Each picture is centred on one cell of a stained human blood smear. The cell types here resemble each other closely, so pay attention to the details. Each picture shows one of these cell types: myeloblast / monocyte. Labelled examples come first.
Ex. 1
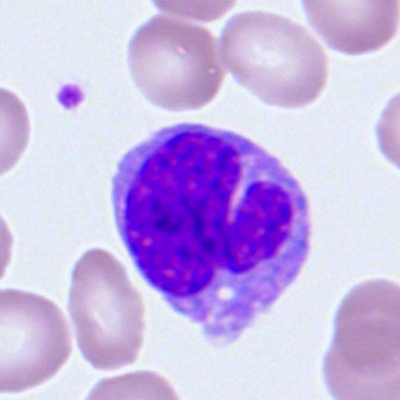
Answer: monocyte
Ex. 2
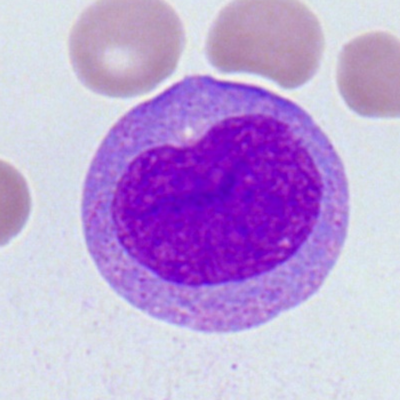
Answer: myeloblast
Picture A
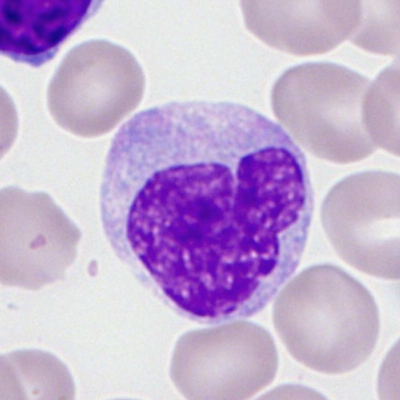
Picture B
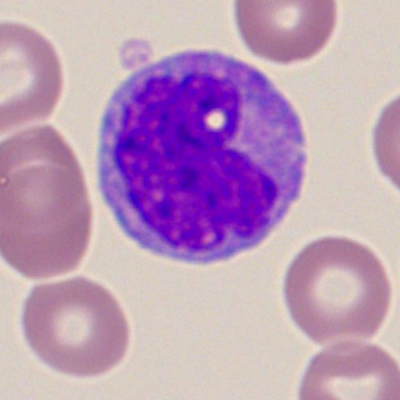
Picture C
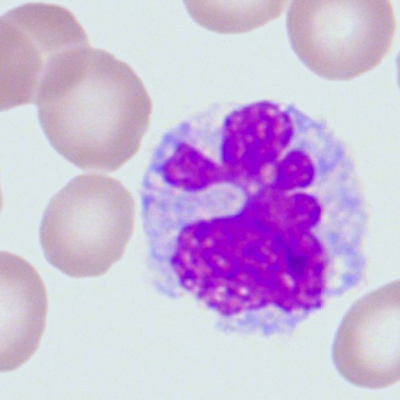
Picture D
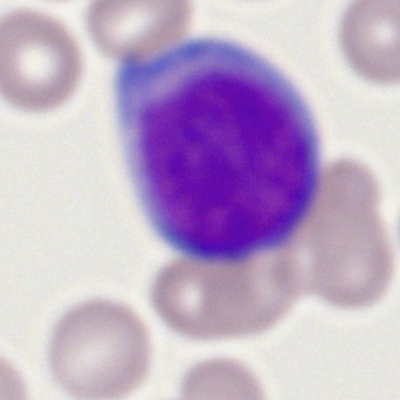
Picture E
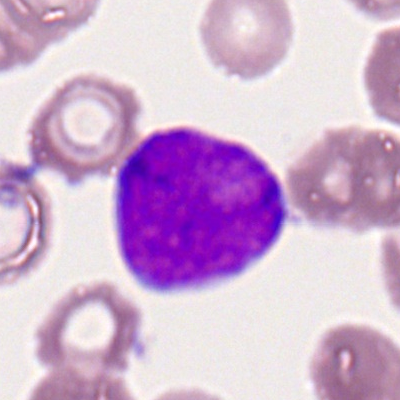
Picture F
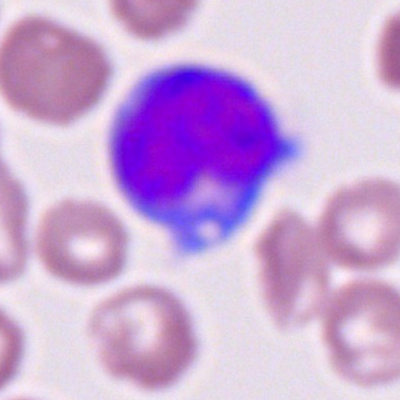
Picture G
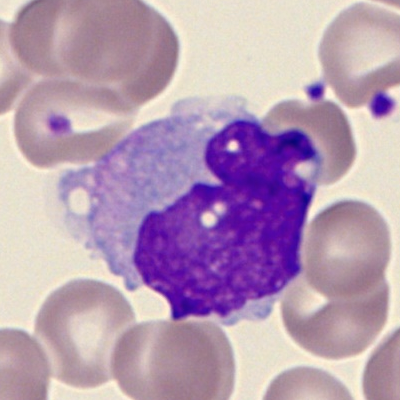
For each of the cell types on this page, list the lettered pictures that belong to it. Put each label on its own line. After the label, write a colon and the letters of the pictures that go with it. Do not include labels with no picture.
myeloblast: D, E
monocyte: A, B, C, F, G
